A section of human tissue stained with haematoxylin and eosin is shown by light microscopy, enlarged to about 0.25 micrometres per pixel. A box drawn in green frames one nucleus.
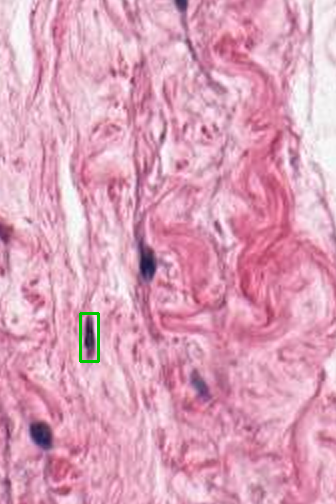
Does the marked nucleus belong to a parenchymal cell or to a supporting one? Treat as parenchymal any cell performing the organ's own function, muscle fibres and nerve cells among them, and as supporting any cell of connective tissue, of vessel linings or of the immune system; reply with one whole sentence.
What the marked nucleus belongs to is a supporting cell.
